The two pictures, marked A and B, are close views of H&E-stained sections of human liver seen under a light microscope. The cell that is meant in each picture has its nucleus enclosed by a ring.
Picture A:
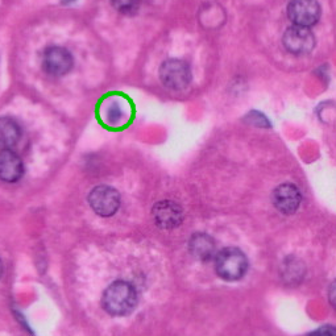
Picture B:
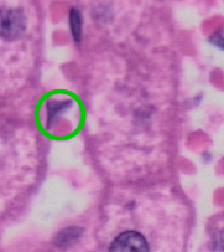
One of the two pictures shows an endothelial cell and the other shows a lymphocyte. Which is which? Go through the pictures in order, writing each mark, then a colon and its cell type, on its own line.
A: lymphocyte
B: endothelial cell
